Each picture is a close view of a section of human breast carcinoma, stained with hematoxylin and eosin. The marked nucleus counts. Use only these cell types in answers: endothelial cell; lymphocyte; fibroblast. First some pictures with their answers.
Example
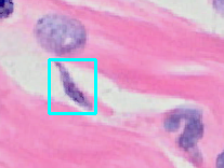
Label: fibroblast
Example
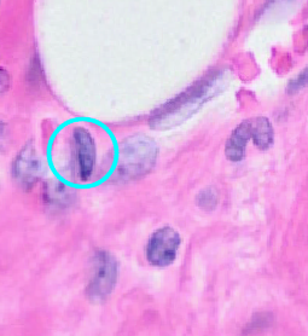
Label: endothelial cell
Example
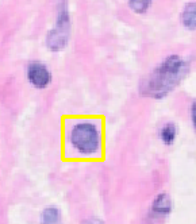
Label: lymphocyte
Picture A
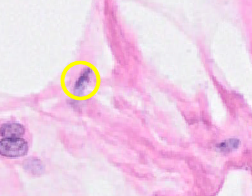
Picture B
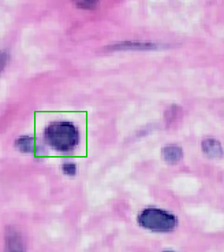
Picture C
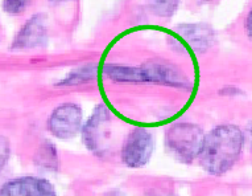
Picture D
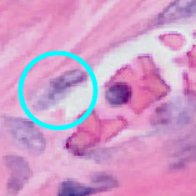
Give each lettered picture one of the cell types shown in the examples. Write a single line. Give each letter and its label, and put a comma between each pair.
A fibroblast, B lymphocyte, C endothelial cell, D endothelial cell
